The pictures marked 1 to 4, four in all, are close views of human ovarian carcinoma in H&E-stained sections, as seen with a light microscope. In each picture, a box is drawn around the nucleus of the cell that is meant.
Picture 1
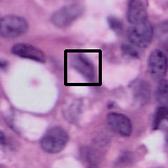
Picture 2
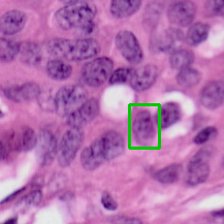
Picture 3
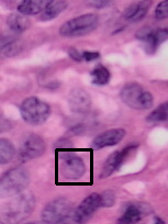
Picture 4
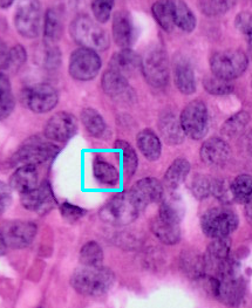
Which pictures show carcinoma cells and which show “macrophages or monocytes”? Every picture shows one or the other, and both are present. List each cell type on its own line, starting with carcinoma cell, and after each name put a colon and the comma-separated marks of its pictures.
carcinoma cell: 1, 2
macrophage or monocyte: 3, 4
